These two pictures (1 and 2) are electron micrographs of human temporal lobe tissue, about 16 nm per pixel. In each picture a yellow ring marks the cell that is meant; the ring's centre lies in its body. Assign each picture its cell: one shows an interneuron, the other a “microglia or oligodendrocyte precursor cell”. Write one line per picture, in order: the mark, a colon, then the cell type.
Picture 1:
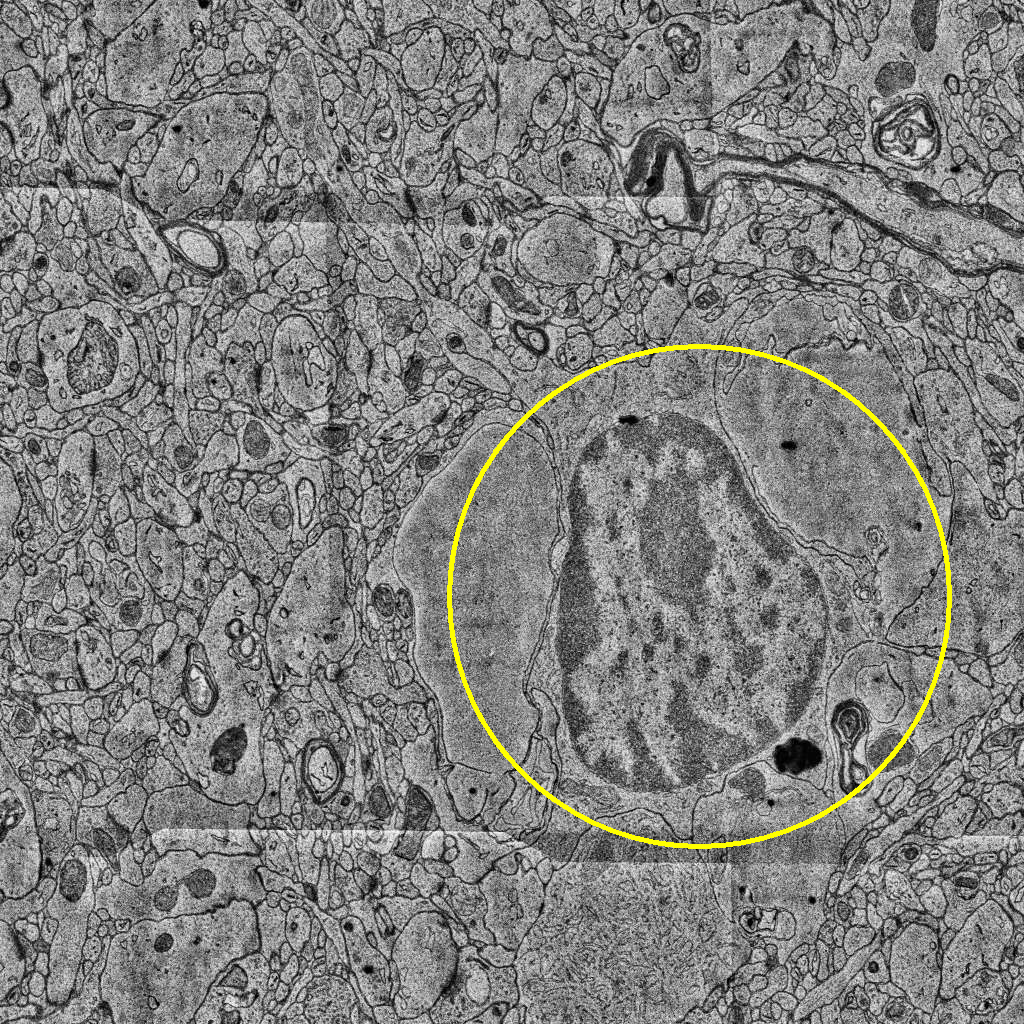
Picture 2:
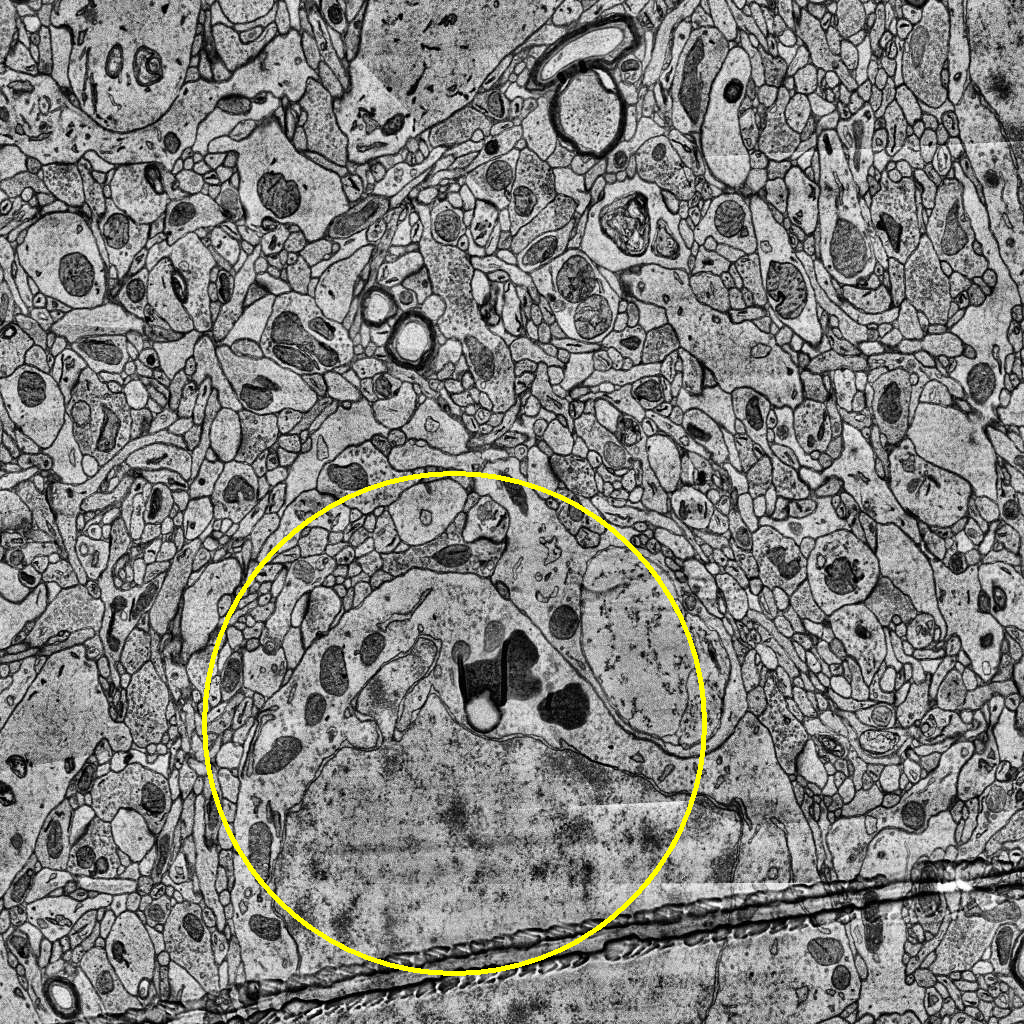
1: microglia or oligodendrocyte precursor cell
2: interneuron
